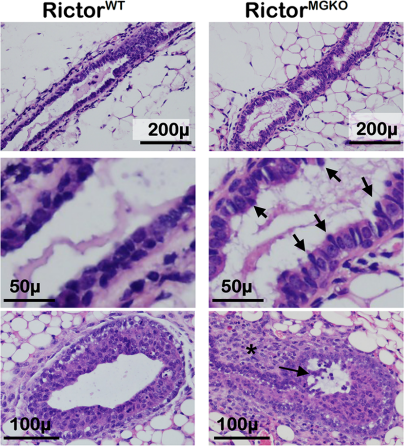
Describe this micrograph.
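Mammary ducts and terminal end buds lie within fat tissue made of large empty polygonal fat cells. At higher magnification the ducts are lined by a layer of epithelial cells with dark purple nuclei and pink cytoplasm; in the right-hand image the luminal edge is ragged and uneven, while on the left it is smooth. The terminal end buds are thick multilayered epithelial structures around a central lumen; in the right-hand bud loose cells lie free in the lumen and dense cellular stroma thickens around the epithelium.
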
